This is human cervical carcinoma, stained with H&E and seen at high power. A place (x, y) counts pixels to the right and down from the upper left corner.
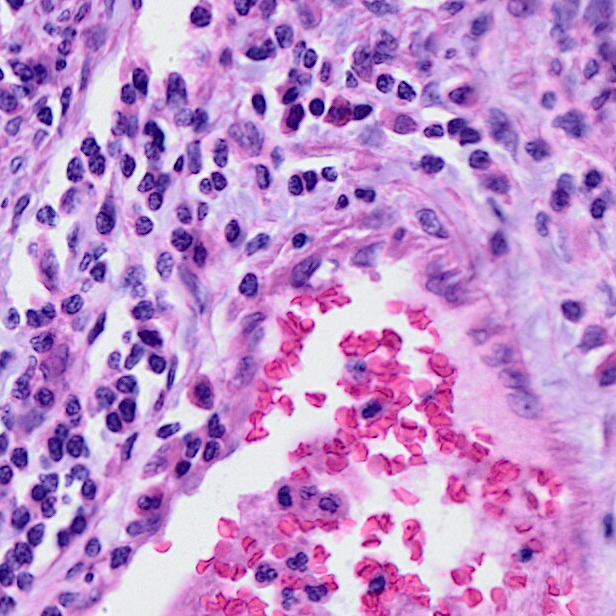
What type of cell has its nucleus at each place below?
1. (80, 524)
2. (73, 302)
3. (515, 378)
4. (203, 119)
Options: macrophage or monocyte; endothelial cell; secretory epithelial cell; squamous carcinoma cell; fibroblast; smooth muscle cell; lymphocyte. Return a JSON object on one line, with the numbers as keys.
{"1": "lymphocyte", "2": "lymphocyte", "3": "endothelial cell", "4": "lymphocyte"}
